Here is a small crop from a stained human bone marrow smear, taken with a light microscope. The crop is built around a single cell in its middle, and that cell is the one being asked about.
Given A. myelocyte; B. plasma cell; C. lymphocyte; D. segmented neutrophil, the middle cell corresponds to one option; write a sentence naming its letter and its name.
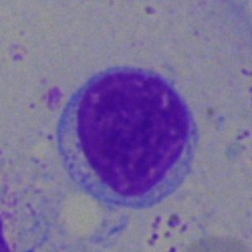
For this crop, option C is right, the centered cell being a lymphocyte.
